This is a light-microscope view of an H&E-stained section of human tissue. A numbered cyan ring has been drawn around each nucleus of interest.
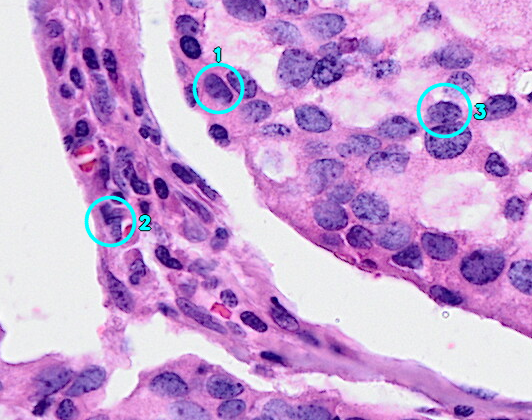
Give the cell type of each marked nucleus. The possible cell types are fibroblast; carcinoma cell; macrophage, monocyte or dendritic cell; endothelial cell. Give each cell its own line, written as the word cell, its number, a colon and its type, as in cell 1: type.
cell 1: carcinoma cell
cell 2: endothelial cell
cell 3: carcinoma cell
